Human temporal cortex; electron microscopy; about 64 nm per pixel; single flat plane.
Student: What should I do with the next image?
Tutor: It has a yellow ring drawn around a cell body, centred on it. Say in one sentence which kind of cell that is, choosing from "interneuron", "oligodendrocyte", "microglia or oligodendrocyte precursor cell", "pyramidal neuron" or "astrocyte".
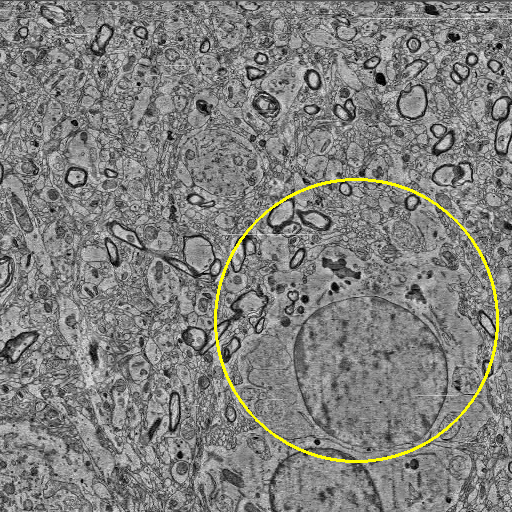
The ring's centre is occupied by an astrocyte.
